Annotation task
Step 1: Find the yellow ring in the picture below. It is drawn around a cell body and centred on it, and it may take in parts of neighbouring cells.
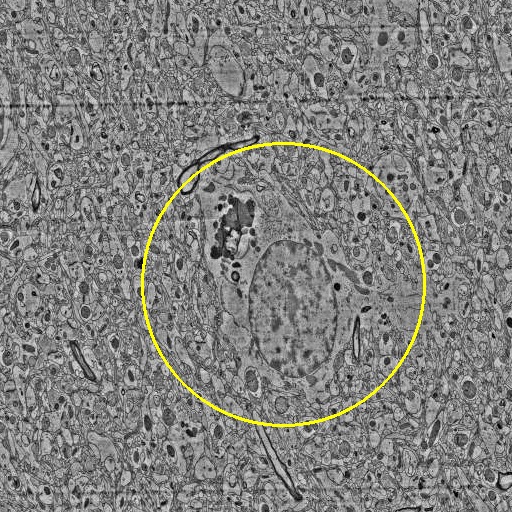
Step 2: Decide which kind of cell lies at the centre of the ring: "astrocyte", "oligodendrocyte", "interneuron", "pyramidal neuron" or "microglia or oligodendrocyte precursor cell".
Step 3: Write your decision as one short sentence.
The kind of cell at the ring's centre is an astrocyte.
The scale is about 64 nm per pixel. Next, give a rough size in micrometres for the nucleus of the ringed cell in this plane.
The ringed cell's nucleus measures approximately 9 by 6 micrometres in this plane.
